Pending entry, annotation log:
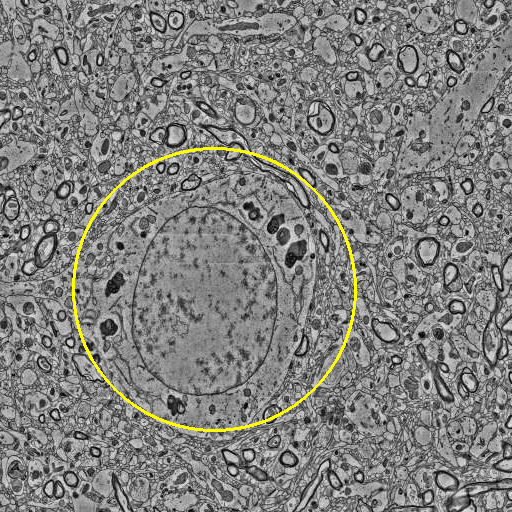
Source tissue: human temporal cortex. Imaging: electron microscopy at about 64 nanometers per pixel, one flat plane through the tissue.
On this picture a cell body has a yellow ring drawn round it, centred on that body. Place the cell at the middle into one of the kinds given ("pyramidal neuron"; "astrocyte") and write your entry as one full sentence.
The cell body at the middle of the yellow ring belongs to a pyramidal neuron.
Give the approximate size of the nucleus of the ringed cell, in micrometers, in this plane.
The nucleus has a long axis of about 12 micrometres and a short axis of about 10 micrometres in this plane.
